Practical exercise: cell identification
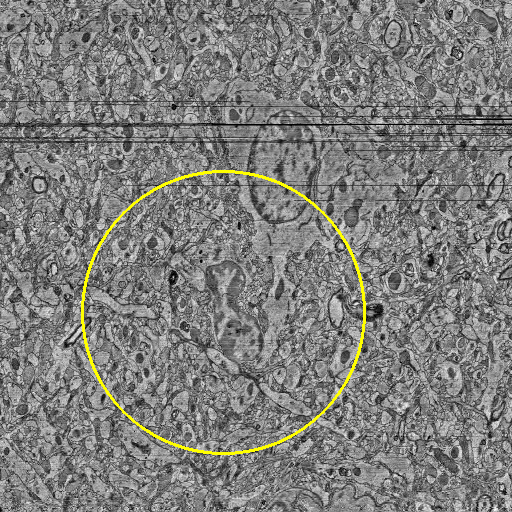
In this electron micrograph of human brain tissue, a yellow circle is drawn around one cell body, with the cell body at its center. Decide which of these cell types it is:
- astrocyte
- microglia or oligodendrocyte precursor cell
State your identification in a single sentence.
The ringed cell is a microglial cell or oligodendrocyte precursor cell.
